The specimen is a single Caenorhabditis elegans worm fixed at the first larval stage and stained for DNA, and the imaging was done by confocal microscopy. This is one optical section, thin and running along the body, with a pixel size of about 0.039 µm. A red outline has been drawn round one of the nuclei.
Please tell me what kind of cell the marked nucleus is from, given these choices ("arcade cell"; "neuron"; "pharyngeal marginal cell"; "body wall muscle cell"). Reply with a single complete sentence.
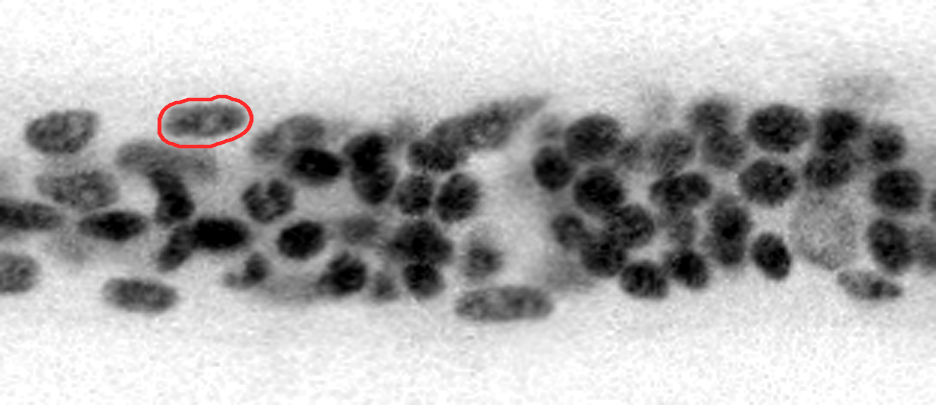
The nucleus comes from a body wall muscle cell.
